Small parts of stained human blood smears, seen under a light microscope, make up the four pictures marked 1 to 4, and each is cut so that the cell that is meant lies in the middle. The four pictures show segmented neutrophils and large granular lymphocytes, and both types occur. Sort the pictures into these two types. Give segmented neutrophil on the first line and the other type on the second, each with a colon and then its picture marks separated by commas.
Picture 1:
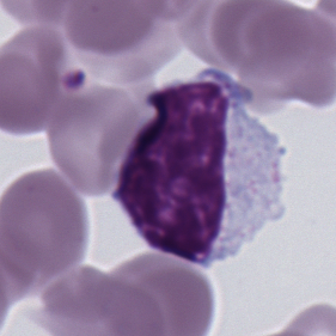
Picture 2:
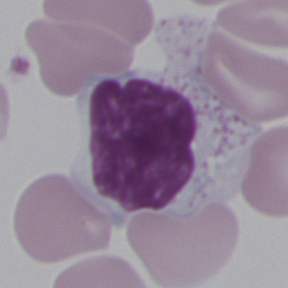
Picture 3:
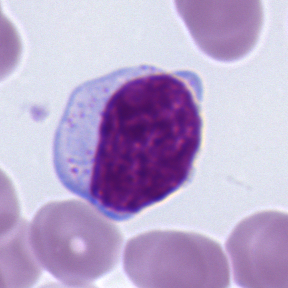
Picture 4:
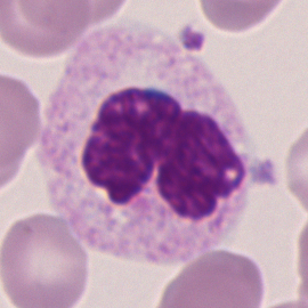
segmented neutrophil: 4
large granular lymphocyte: 1, 2, 3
